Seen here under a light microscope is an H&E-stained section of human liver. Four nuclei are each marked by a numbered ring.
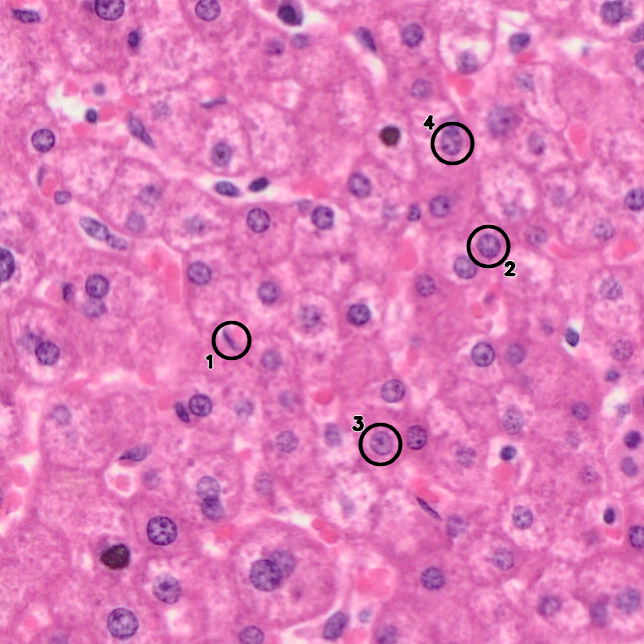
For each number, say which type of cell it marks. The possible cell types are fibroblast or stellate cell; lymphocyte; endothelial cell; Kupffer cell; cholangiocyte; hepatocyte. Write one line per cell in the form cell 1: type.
cell 1: endothelial cell
cell 2: hepatocyte
cell 3: hepatocyte
cell 4: hepatocyte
